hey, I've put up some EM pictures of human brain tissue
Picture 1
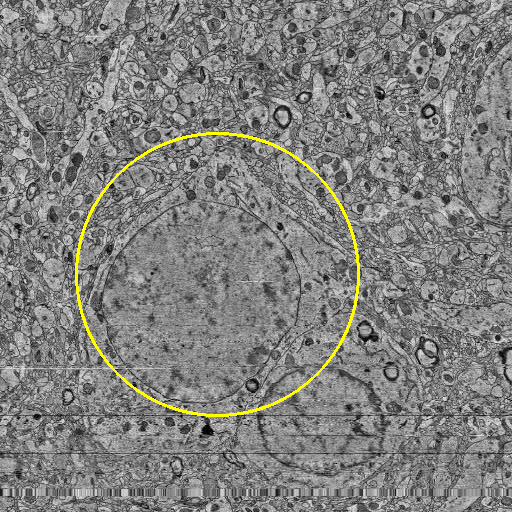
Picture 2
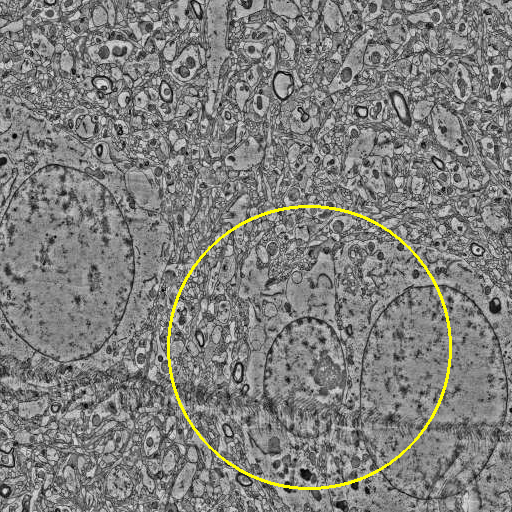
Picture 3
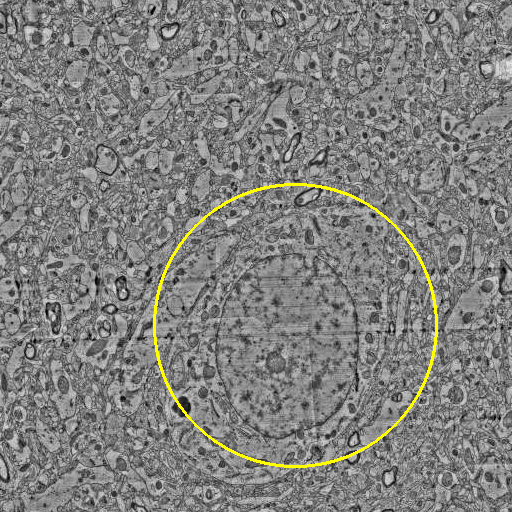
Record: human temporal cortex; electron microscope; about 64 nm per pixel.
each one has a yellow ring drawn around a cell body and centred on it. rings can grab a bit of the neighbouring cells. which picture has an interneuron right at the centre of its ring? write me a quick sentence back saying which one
It's Picture 3.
